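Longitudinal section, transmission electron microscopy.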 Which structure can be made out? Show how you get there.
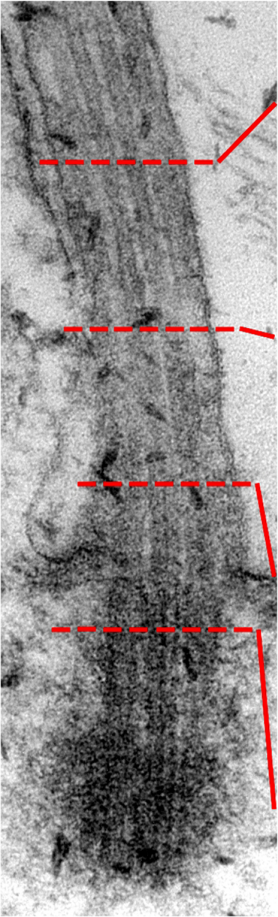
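Cilia. A slender elongated projection runs vertically through the image. Fine parallel longitudinal lines run along its length. The base at the bottom is a dense, dark cylindrical region.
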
